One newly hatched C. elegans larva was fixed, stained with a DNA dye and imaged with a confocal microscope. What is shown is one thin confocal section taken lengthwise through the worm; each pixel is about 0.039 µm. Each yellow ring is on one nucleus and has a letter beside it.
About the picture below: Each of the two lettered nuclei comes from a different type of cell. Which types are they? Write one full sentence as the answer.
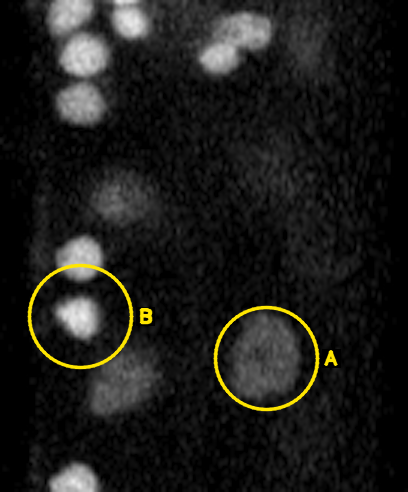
A is from an intestinal cell, and B is from a neuron.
